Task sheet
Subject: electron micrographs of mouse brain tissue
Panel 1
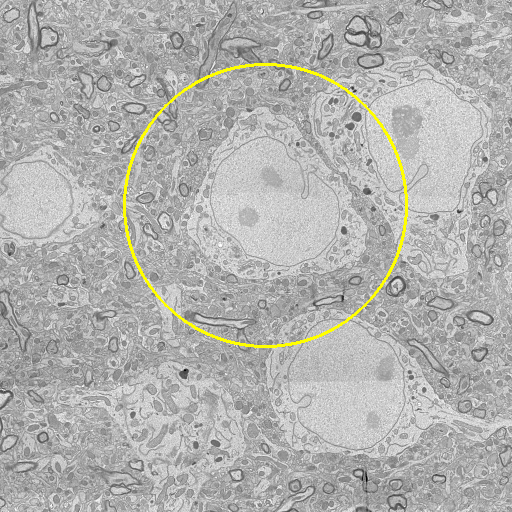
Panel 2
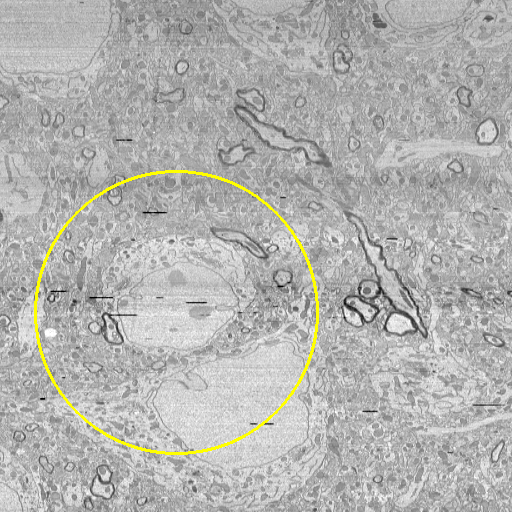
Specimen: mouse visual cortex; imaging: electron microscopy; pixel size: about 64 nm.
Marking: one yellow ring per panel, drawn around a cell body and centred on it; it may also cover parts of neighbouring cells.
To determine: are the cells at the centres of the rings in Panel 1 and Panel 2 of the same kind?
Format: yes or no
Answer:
yes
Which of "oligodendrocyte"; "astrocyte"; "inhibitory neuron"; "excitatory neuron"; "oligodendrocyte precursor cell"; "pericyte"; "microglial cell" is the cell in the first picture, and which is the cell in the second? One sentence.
The second cell is an excitatory neuron, just as the first is.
